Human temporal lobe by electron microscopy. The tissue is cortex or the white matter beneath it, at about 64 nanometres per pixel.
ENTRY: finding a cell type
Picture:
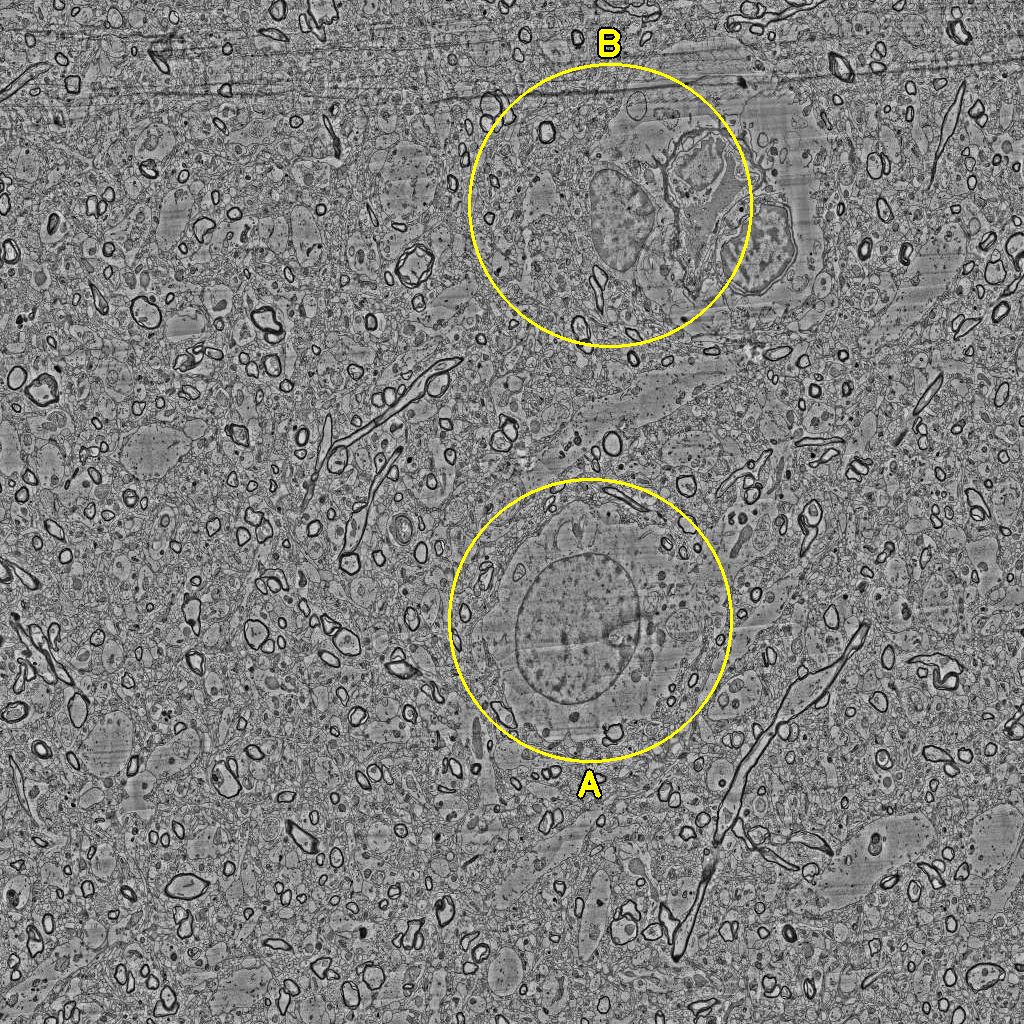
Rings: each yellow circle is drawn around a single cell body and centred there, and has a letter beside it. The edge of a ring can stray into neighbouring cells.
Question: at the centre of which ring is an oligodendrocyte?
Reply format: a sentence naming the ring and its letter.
The answer is ring B, the one centred on the cell asked for.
